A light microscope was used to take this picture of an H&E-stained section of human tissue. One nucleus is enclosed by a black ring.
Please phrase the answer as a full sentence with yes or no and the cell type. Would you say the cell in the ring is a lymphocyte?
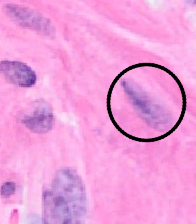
No, the cell in the ring is recognized as a fibroblast rather than a lymphocyte.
